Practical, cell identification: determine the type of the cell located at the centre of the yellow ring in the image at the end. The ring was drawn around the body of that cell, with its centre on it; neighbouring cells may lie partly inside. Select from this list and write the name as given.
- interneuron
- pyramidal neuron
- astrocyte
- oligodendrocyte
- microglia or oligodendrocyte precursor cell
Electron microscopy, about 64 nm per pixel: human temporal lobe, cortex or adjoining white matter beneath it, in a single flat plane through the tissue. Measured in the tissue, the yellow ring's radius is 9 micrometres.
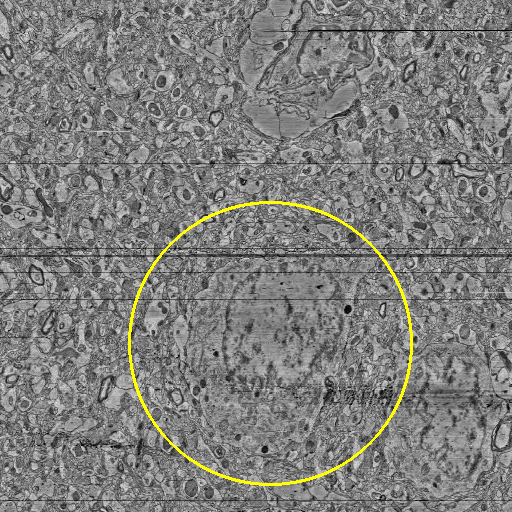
interneuron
